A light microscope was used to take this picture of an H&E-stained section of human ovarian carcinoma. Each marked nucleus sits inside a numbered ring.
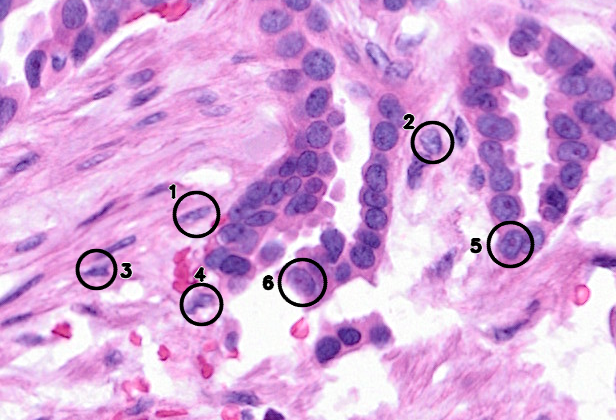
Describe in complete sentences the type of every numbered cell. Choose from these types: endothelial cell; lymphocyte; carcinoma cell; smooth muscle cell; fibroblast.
Cells 1, 2, 3 and 4 are fibroblasts. Cells 5 and 6 are carcinoma cells.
